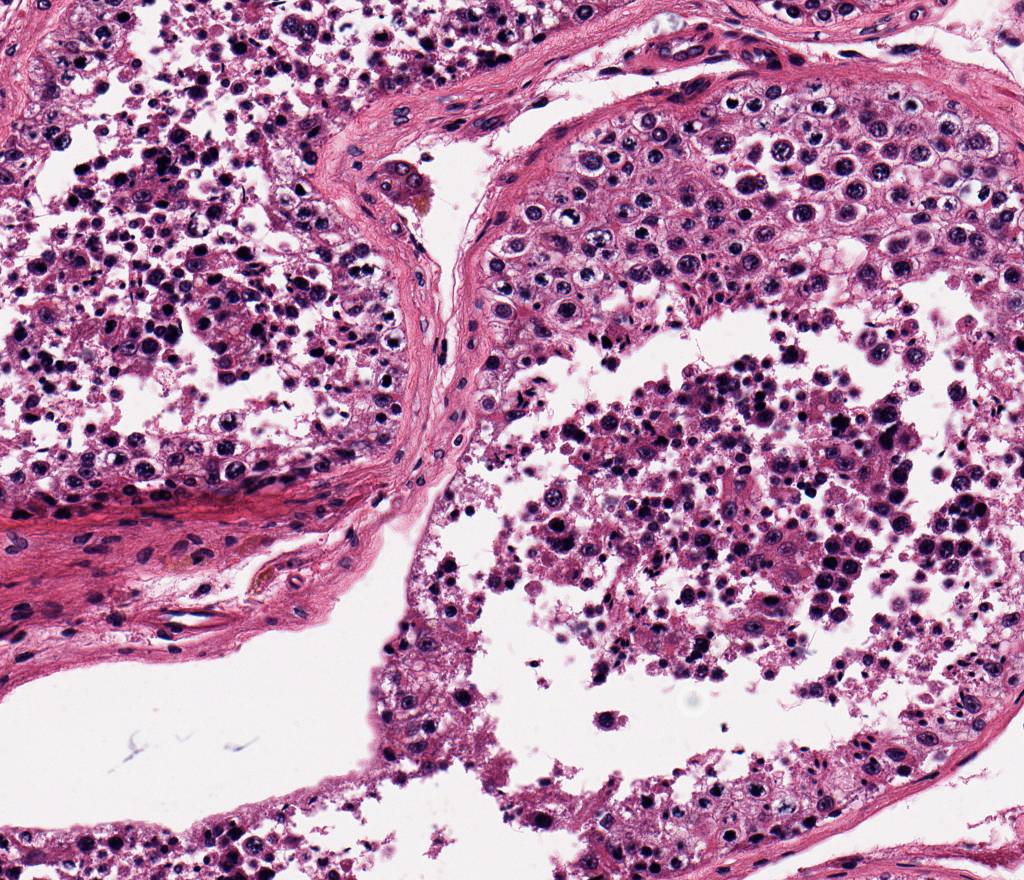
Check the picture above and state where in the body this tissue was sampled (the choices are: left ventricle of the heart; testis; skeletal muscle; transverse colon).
testis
